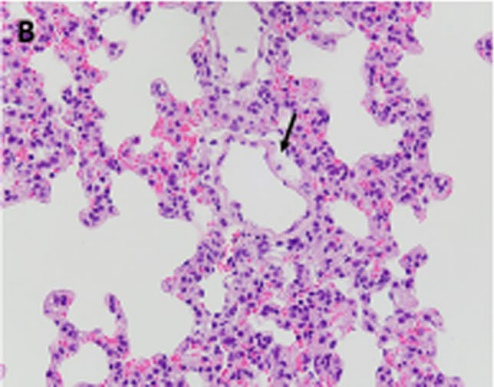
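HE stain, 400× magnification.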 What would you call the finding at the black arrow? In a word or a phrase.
mild perivascular edema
